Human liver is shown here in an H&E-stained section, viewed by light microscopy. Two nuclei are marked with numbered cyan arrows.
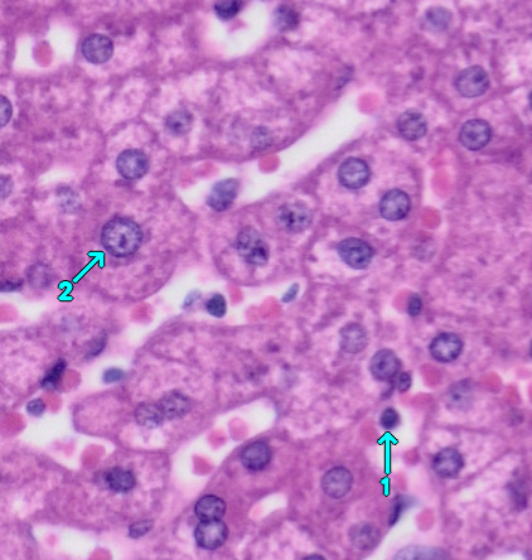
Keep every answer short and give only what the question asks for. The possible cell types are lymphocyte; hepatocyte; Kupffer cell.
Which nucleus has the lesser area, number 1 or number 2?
1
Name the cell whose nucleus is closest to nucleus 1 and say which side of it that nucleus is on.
a Kupffer cell above nucleus 1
